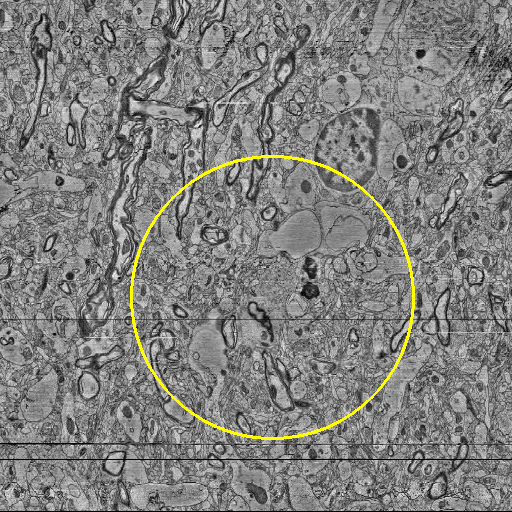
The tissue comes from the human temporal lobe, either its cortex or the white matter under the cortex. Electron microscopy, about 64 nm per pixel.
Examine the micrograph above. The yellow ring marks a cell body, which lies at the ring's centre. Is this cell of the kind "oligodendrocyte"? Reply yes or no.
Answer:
yes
